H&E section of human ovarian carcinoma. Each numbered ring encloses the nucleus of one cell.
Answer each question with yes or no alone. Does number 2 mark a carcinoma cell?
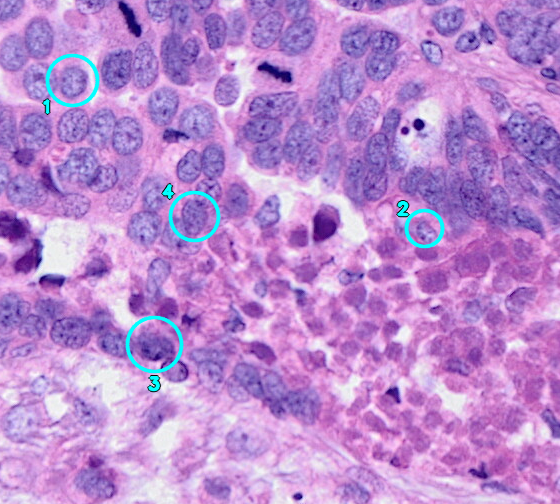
no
